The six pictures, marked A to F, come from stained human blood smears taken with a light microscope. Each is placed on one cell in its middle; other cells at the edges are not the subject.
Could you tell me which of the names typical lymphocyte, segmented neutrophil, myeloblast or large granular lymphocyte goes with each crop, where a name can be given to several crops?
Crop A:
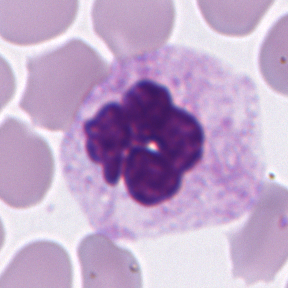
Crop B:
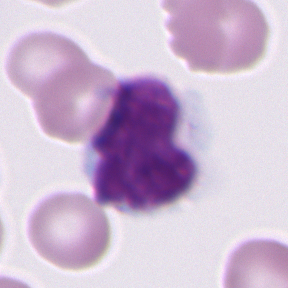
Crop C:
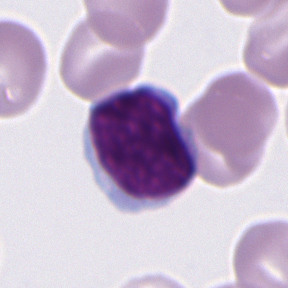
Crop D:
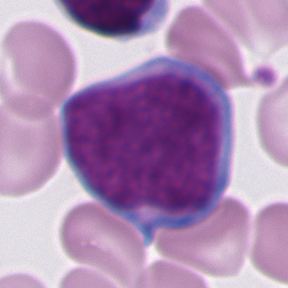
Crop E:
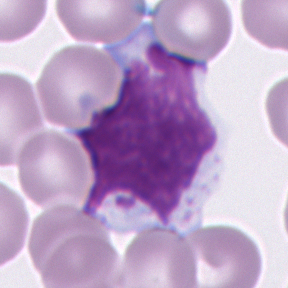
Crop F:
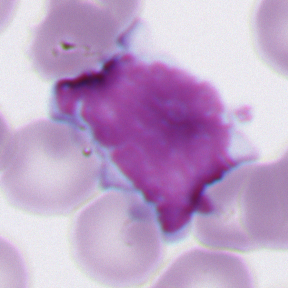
A: segmented neutrophil
B: typical lymphocyte
C: typical lymphocyte
D: myeloblast
E: large granular lymphocyte
F: typical lymphocyte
